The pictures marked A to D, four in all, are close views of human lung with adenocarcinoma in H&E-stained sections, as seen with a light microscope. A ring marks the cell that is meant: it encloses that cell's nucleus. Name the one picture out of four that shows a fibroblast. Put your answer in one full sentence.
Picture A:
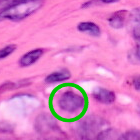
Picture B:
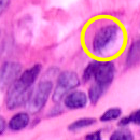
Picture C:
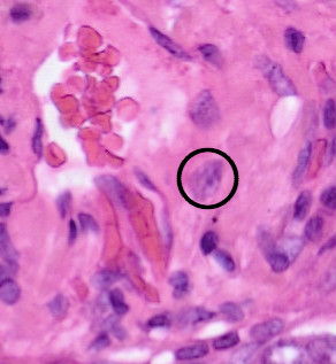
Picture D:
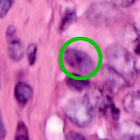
Picture C shows the fibroblast.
